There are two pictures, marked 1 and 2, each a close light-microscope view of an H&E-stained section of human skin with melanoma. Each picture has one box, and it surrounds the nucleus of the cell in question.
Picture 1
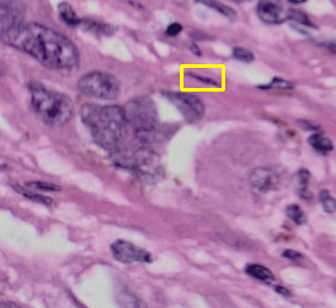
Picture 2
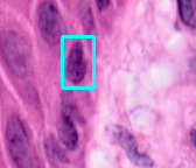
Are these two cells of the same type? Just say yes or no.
no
